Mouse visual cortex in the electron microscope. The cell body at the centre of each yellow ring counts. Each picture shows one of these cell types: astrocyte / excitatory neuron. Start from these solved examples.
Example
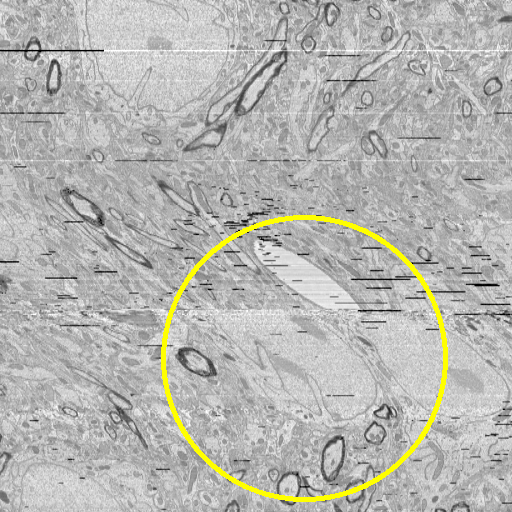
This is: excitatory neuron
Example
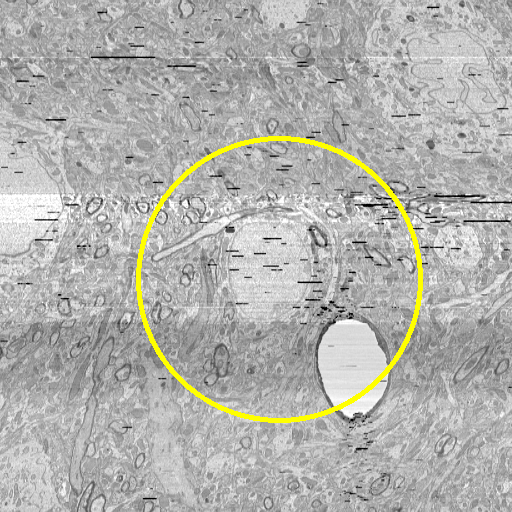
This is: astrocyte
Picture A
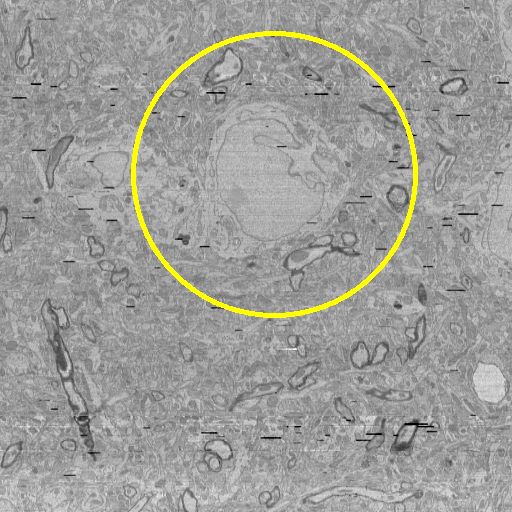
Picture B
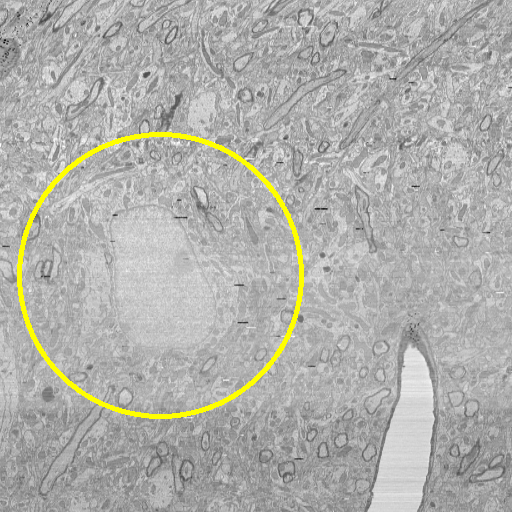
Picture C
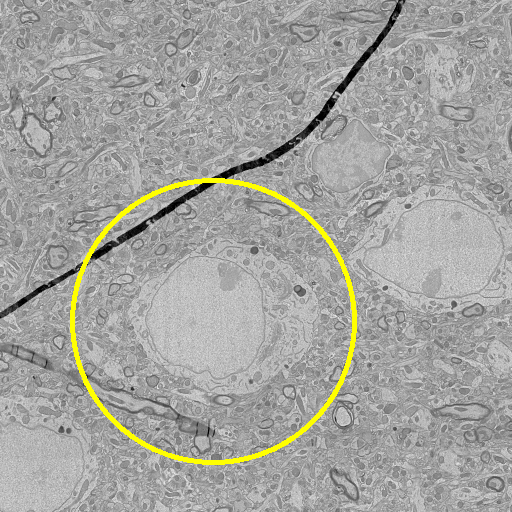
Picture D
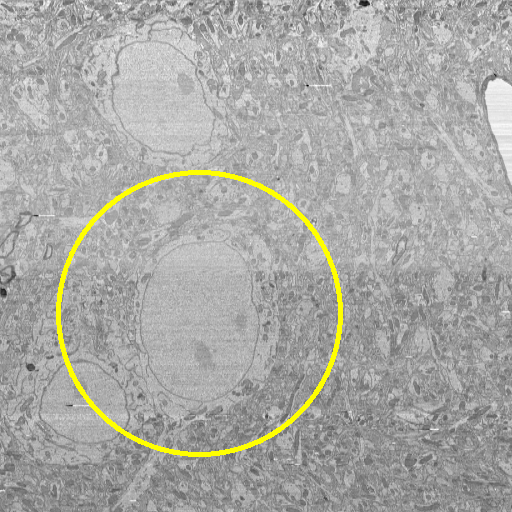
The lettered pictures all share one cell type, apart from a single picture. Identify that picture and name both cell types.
B differs and shows astrocyte; the others show excitatory neuron.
